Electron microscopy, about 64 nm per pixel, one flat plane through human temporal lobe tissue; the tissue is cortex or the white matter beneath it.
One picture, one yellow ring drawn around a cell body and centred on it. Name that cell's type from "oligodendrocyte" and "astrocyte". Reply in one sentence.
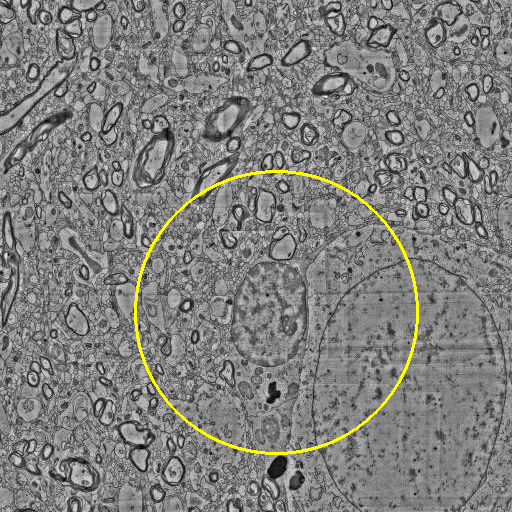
Centred in the ring is an oligodendrocyte.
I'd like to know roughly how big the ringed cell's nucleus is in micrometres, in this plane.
The nucleus is approximately 7 micrometers long by 5 micrometers wide in this plane.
